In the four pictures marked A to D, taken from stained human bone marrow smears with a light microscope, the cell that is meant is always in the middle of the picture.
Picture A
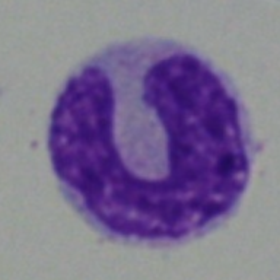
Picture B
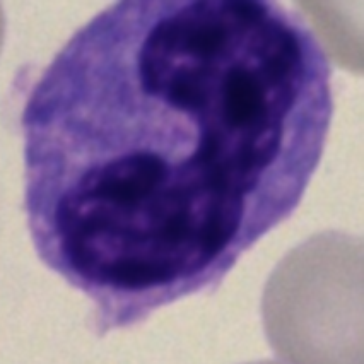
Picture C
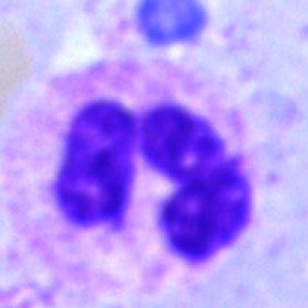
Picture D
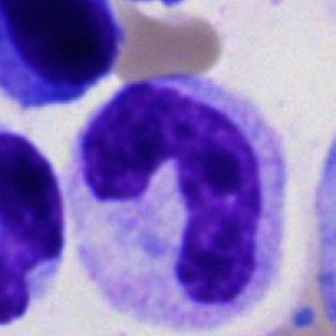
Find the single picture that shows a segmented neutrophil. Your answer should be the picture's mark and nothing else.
C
